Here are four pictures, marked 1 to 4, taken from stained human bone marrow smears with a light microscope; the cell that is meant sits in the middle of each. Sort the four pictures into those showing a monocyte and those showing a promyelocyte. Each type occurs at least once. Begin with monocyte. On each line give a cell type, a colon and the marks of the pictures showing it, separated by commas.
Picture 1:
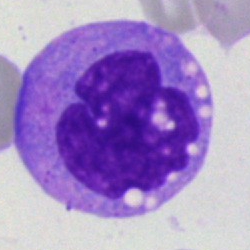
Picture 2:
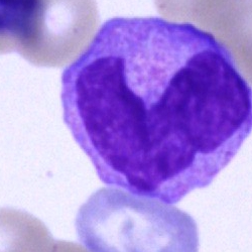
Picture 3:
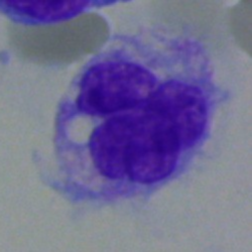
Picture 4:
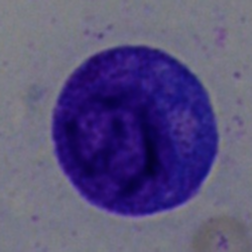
monocyte: 1, 2, 3
promyelocyte: 4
